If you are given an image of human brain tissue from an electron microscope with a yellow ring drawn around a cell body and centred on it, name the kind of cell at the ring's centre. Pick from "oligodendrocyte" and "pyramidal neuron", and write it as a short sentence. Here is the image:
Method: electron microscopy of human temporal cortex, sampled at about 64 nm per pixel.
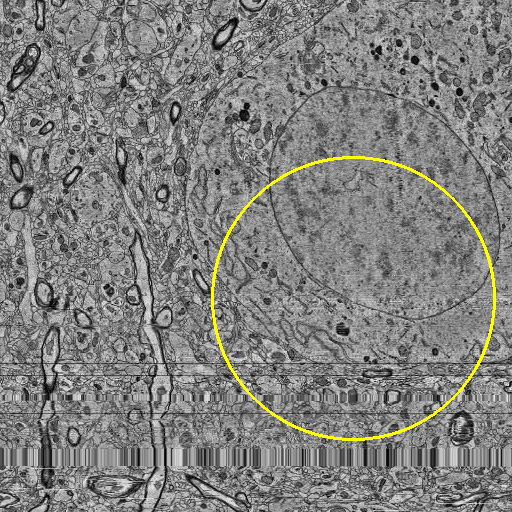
The cell at the ring's centre is a pyramidal neuron.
